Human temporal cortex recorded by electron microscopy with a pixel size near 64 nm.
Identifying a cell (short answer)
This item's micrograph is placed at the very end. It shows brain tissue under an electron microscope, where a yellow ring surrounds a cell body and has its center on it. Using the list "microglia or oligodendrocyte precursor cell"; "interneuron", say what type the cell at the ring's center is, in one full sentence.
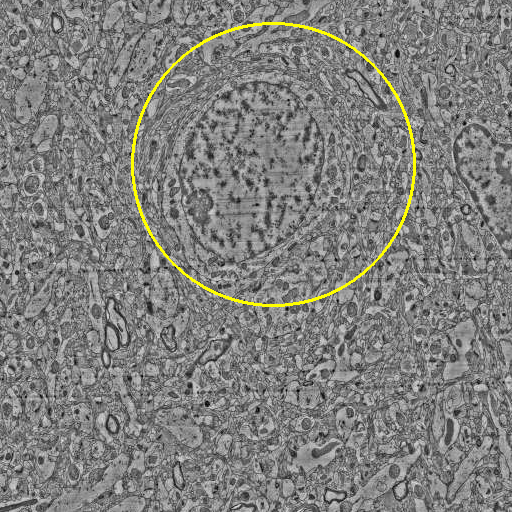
This picture shows an interneuron at the center of the yellow ring drawn on it.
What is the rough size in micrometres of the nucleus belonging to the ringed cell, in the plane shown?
In this plane the nucleus spans approximately 12 by 9 micrometers.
